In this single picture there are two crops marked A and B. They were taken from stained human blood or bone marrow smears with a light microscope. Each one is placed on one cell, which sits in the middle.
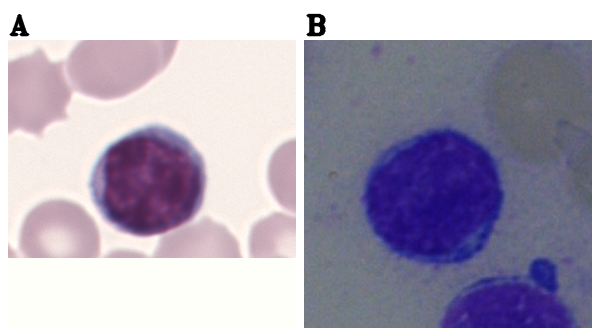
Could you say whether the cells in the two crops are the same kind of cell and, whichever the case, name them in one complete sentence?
Yes, the cells that both crops show at the centre are lymphocytes.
